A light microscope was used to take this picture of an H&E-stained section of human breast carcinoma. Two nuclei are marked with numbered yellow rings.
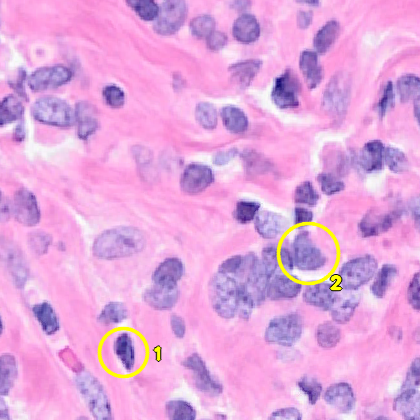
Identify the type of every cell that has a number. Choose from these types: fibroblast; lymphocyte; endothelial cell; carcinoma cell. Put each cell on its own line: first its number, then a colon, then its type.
1: lymphocyte
2: carcinoma cell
